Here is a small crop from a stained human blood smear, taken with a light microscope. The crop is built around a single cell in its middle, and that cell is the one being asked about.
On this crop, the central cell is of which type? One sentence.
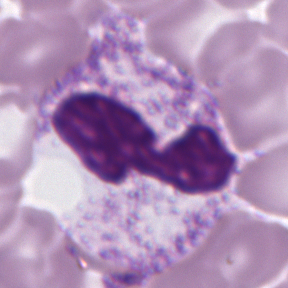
The cell that lies at the centre of the crop is a segmented neutrophil.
